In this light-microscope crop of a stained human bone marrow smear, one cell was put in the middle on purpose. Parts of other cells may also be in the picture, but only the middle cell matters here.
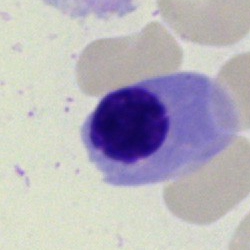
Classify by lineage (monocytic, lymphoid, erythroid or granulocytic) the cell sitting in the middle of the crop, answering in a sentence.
The lineage of the cell at the center of the crop is erythroid.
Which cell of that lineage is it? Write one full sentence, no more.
Present in the middle of the crop is an erythroblast.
